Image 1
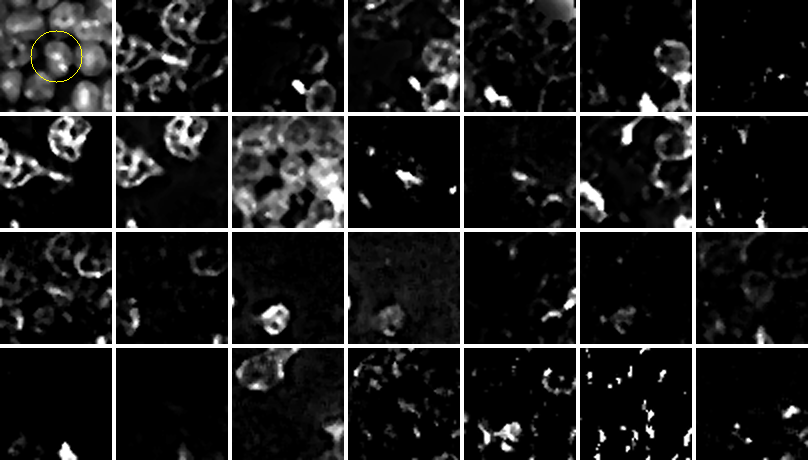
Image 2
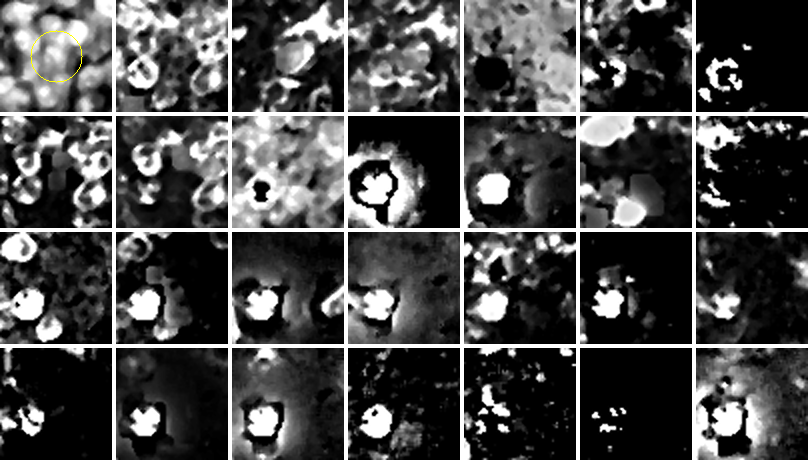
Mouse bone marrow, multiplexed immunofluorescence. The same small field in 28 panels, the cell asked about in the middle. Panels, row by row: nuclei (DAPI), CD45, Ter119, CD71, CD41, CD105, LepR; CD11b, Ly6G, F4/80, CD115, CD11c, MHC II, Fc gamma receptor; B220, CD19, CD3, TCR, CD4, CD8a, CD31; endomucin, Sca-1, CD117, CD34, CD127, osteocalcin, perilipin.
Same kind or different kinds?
Same: monocytes.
